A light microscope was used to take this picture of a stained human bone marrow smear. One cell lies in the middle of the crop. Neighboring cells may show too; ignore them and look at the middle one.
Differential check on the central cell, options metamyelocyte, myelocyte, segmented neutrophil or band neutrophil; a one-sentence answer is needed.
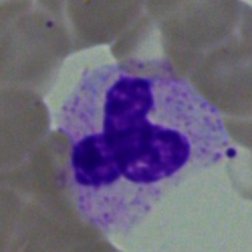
The cell at the middle of the frame should be recorded as a segmented neutrophil.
